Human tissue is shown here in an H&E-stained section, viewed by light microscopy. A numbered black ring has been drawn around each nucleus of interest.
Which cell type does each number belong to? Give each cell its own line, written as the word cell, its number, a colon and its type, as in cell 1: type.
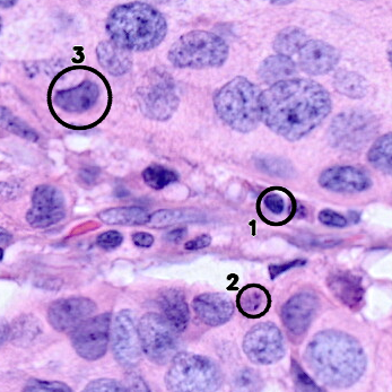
cell 1: lymphocyte
cell 2: carcinoma cell
cell 3: carcinoma cell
